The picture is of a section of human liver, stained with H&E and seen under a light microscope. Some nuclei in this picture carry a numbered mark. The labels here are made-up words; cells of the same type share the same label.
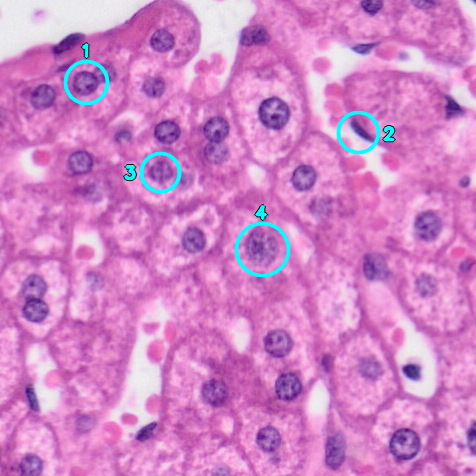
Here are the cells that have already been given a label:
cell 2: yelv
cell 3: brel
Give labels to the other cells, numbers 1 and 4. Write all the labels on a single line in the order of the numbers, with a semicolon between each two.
brel; brel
